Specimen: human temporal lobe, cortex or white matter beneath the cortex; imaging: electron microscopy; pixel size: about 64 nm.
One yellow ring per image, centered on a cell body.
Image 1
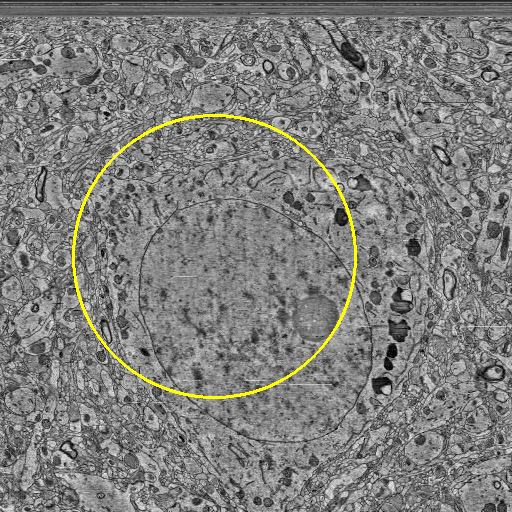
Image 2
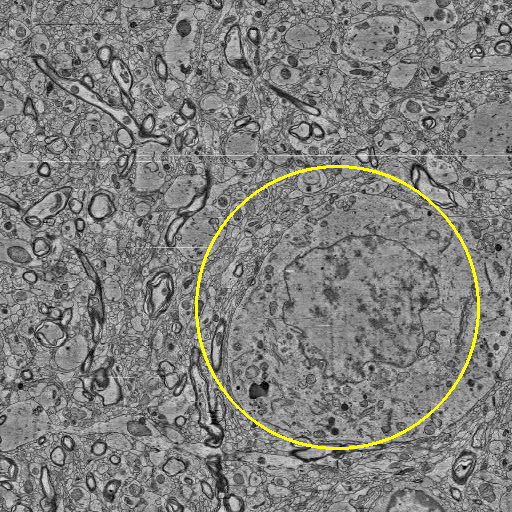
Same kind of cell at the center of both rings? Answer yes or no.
yes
